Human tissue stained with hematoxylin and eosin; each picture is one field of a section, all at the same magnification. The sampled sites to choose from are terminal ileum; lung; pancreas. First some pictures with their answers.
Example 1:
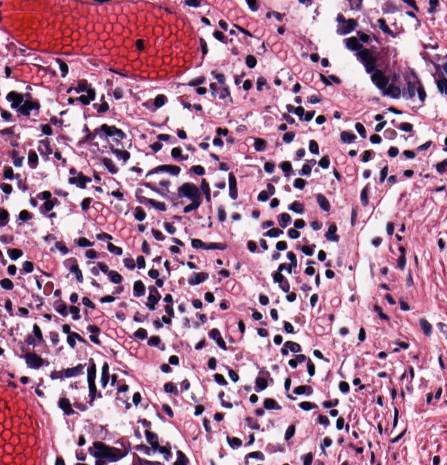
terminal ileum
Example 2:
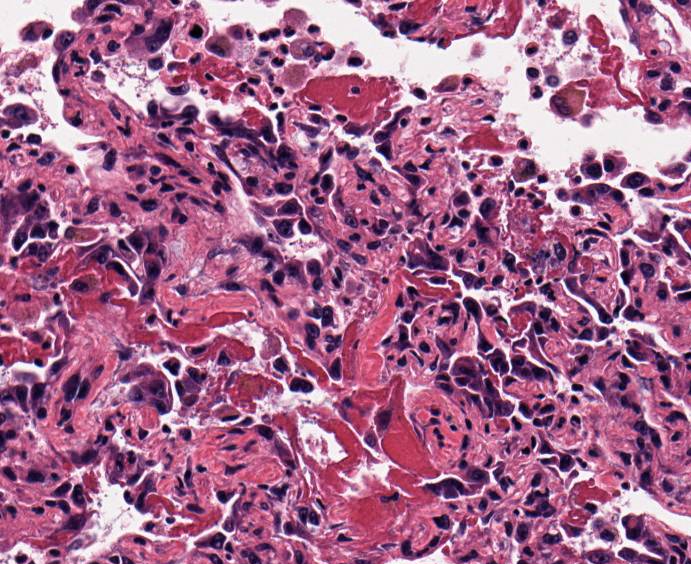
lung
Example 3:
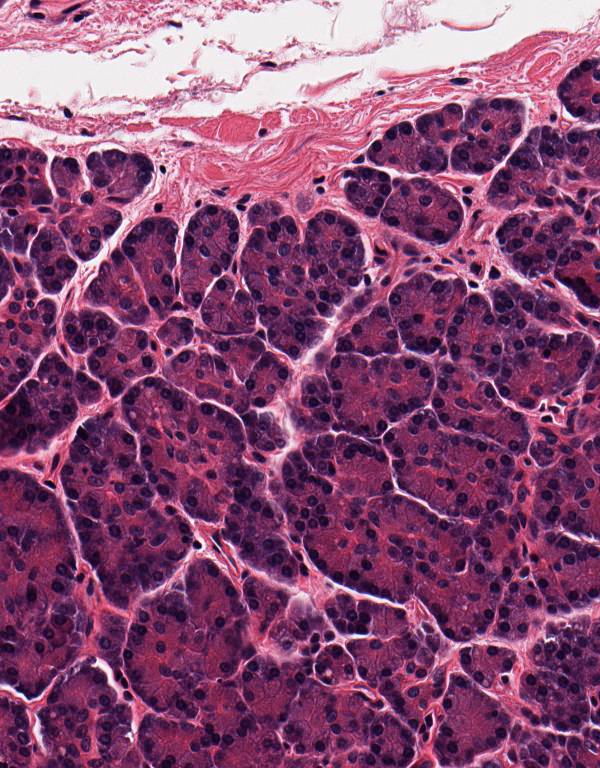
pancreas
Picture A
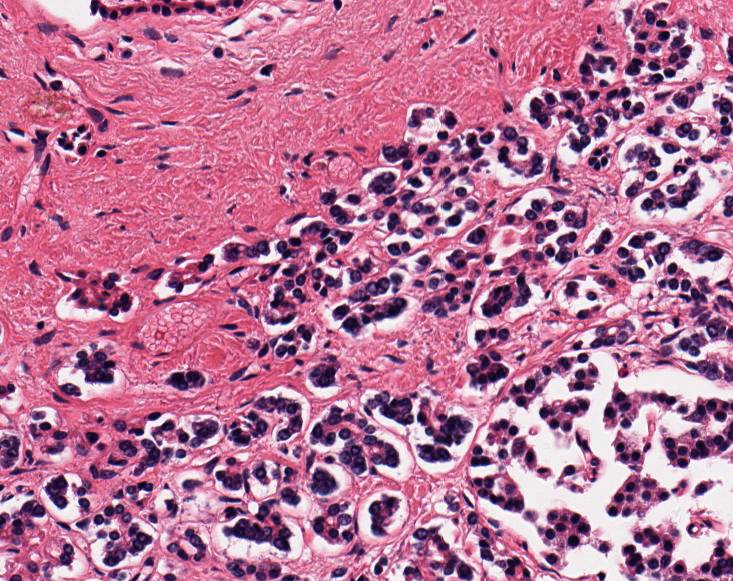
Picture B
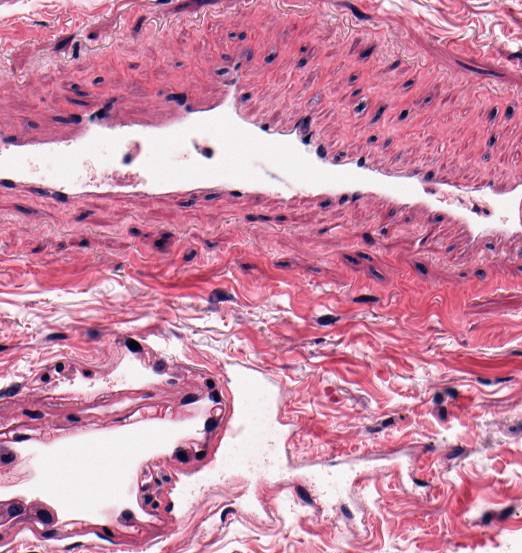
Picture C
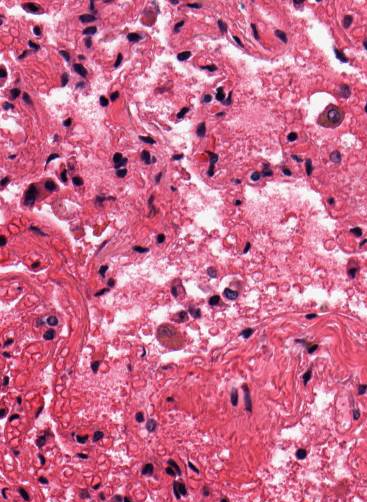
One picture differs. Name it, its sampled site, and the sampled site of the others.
A differs and shows pancreas; the others show lung.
